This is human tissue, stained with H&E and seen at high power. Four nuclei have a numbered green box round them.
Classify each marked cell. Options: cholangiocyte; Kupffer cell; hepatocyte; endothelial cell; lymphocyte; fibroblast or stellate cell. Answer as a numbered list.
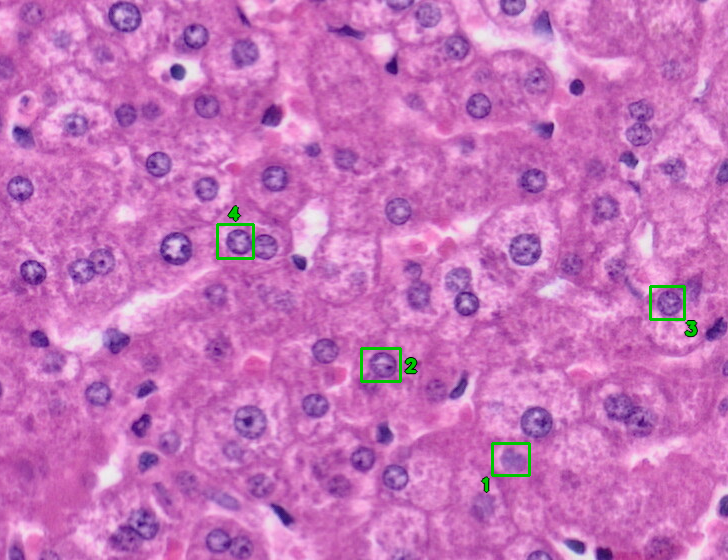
1. endothelial cell
2. hepatocyte
3. hepatocyte
4. hepatocyte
